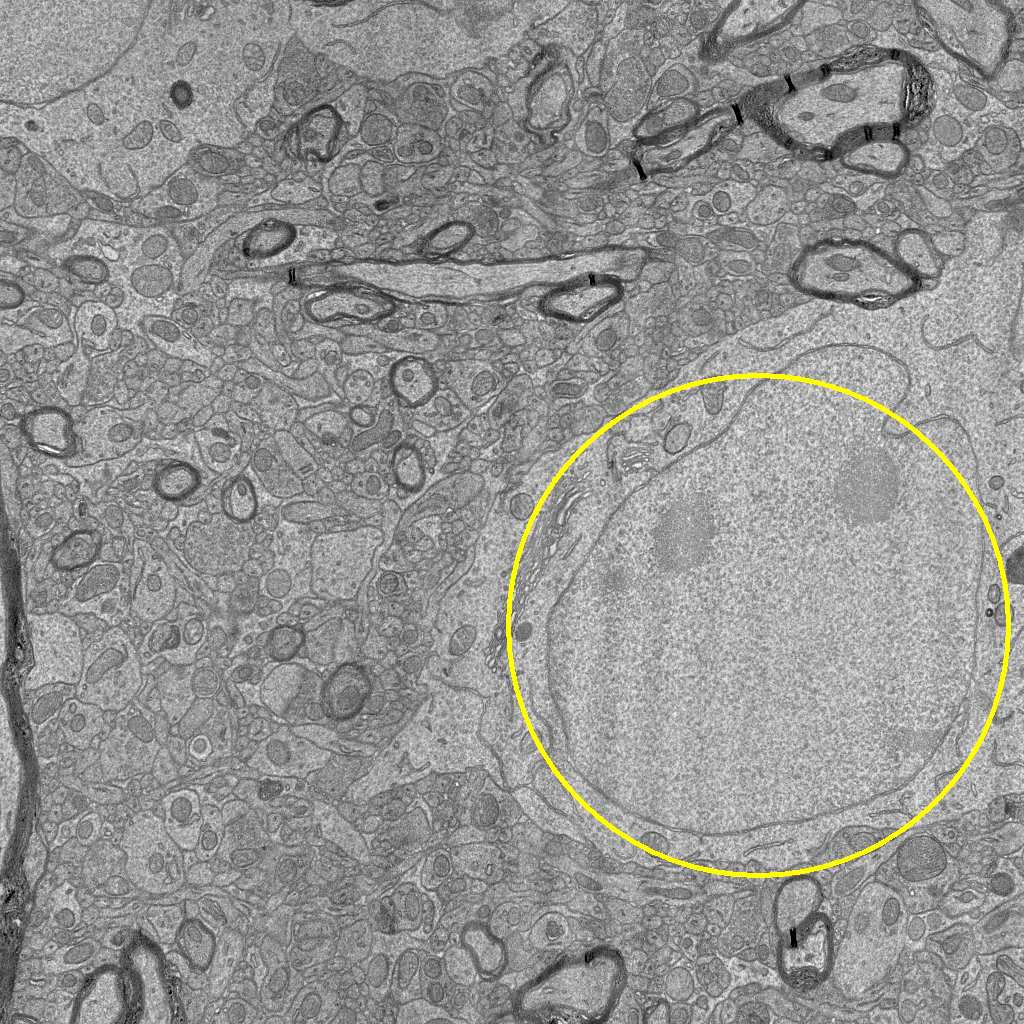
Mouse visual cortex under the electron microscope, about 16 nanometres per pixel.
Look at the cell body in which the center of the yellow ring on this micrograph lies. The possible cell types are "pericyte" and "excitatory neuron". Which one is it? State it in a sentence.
The cell at the middle of the ring is an excitatory neuron.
